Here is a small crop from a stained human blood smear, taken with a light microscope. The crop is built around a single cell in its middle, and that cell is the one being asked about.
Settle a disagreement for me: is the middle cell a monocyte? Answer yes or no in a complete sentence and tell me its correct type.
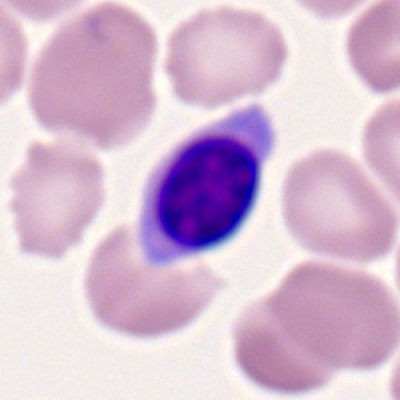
No, in the middle of the crop there is a lymphocyte rather than a monocyte.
